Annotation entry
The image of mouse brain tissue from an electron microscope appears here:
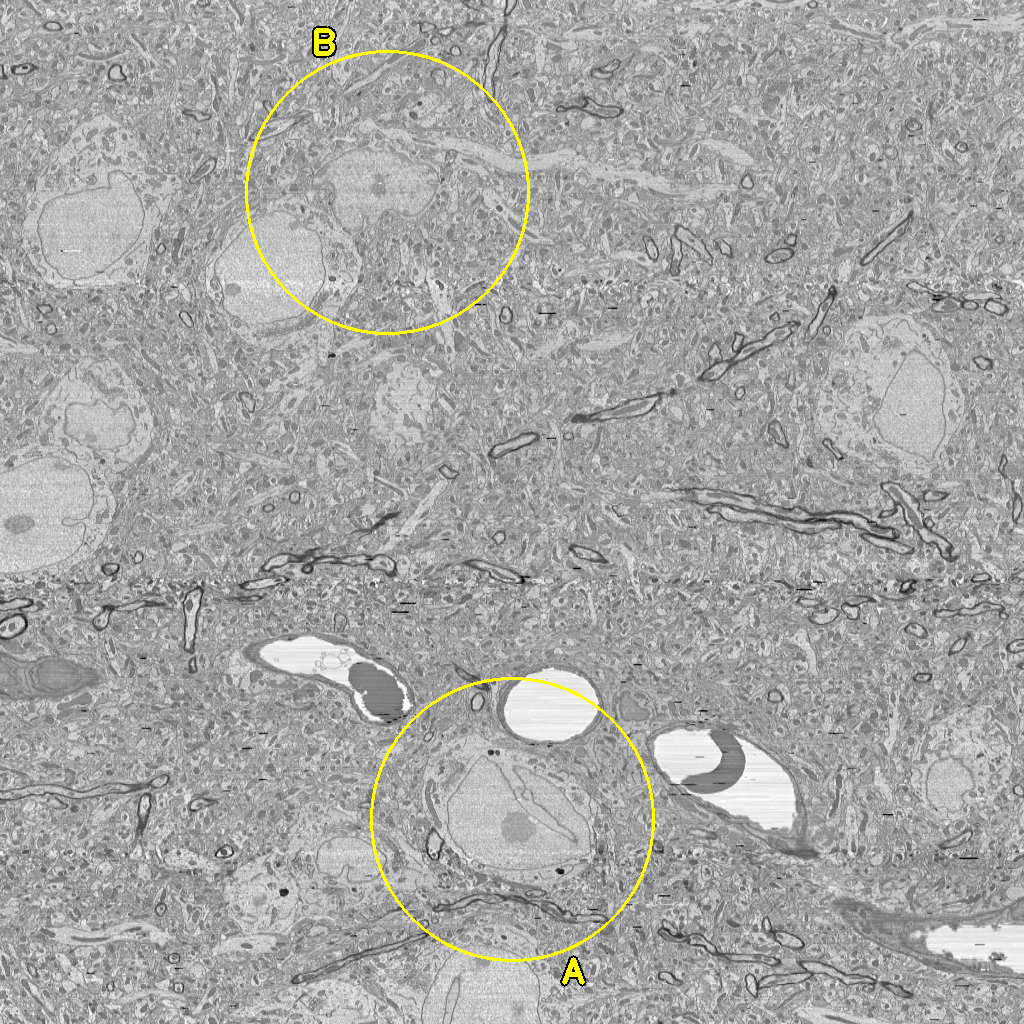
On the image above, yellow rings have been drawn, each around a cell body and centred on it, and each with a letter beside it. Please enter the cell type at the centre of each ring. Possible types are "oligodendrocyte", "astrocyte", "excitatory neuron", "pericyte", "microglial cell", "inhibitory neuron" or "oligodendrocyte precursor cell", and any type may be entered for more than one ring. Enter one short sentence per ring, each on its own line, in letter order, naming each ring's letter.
The cell that ring A is centred on is an excitatory neuron.
The cell that ring B is centred on is an oligodendrocyte precursor cell.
